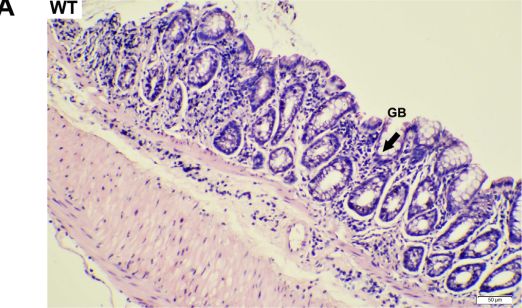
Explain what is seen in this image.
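This is a section of colon wall, with the mucosa at top right made of a regular row of round to oval crypts lined by a single layer of epithelial cells, many of them goblet cells with pale, clear mucus-filled cytoplasm and dark basal nuclei. Between the crypts lies cellular lamina propria with small dark nuclei. Below, a thin pink submucosa separates the mucosa from the thick pink band of smooth muscle at lower left.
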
